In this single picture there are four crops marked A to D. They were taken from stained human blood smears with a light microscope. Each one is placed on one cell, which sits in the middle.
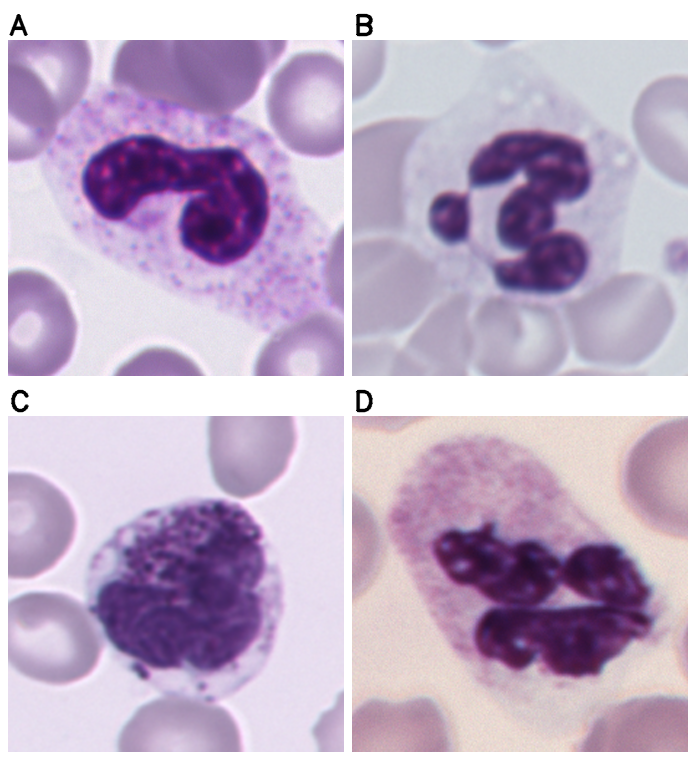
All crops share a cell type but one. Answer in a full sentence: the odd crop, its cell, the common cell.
Of these crops, only crop C is a basophil; the others are segmented neutrophils.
